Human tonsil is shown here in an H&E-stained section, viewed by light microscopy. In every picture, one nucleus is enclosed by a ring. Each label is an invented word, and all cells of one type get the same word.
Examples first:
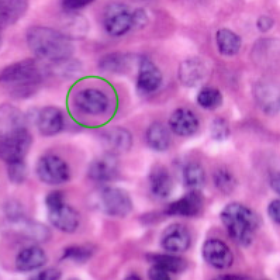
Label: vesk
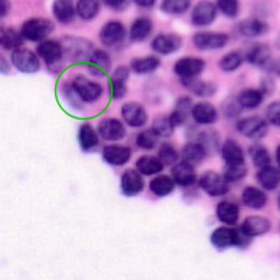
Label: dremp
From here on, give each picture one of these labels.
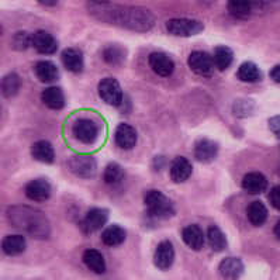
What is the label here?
vesk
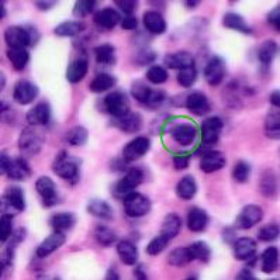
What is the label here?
dremp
